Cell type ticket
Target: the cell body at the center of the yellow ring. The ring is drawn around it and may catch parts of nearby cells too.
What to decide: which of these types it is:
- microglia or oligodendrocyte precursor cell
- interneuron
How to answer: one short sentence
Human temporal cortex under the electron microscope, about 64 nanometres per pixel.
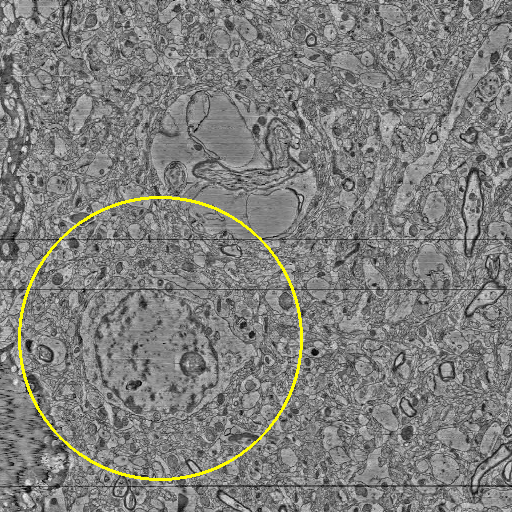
The cell at the center of the ring is an interneuron.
